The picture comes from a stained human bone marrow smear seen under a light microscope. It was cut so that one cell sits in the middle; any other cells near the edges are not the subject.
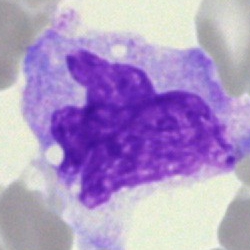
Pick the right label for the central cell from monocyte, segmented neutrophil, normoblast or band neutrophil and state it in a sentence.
The cell at the centre of the field is a monocyte.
